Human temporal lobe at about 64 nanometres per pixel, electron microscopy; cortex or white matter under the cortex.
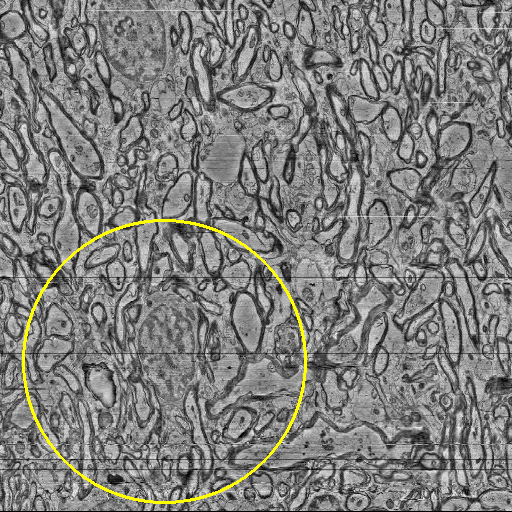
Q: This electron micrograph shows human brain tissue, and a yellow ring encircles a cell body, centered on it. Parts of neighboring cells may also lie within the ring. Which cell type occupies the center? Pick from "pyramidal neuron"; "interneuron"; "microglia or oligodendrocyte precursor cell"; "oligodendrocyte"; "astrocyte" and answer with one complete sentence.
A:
What sits at the ring's center in this micrograph is an oligodendrocyte, among those choices.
